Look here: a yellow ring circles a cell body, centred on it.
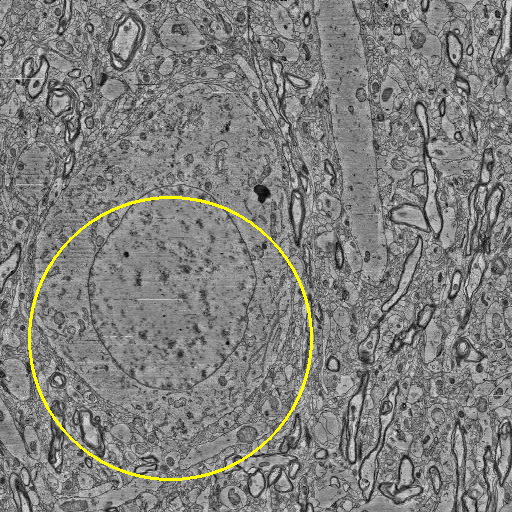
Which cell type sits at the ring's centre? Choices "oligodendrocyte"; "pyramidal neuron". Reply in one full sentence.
The cell at the centre of the yellow ring in the picture is a pyramidal neuron.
